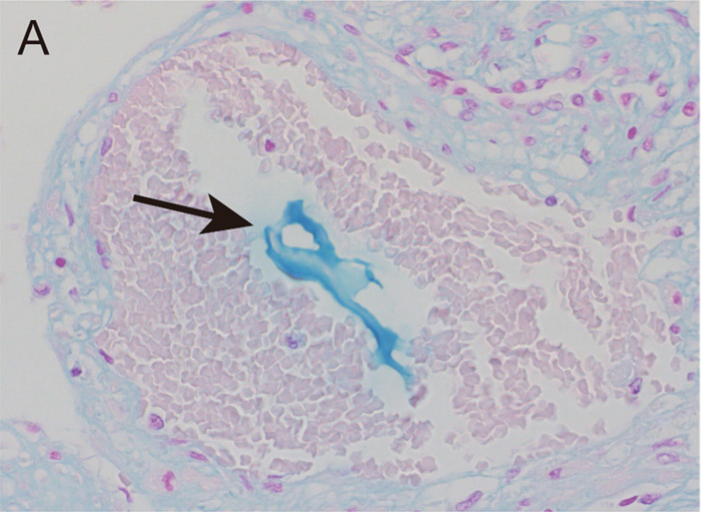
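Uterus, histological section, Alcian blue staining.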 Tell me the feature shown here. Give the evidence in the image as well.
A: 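Uterine vessels. A large rounded lumen is packed with red blood cells. A thin wall with flattened nuclei surrounds the lumen.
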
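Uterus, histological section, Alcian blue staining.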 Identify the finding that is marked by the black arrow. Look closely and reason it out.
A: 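A bright blue, irregular streak of amorphous material lies at the centre of the lumen. The blue material is surrounded by closely packed pale pink red blood cells. The material has no nuclei of its own.
Hence: Acid mucopolysaccharidic matter.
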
